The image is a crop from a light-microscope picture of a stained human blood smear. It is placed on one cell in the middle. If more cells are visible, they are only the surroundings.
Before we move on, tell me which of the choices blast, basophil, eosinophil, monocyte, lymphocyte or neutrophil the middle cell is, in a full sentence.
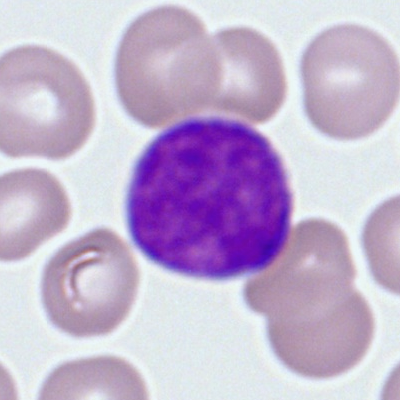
The centrally positioned cell in the crop represents a blast.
